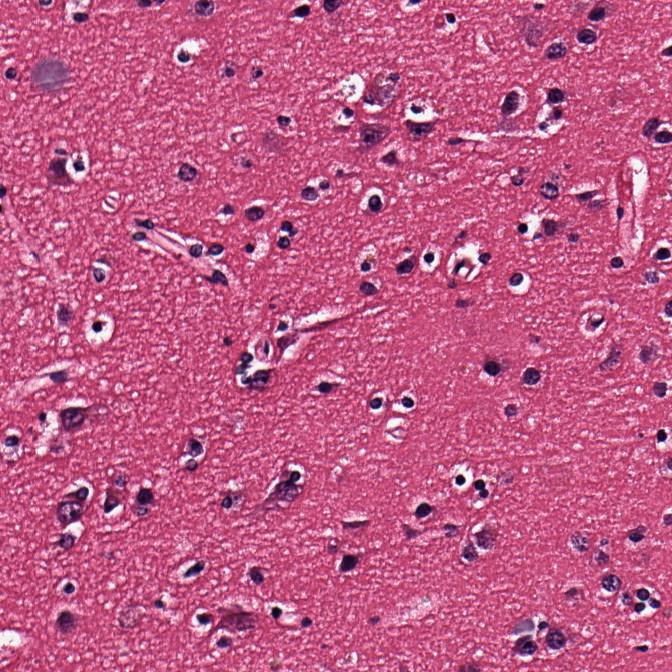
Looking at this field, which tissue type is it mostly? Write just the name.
cerebral cortex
